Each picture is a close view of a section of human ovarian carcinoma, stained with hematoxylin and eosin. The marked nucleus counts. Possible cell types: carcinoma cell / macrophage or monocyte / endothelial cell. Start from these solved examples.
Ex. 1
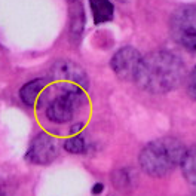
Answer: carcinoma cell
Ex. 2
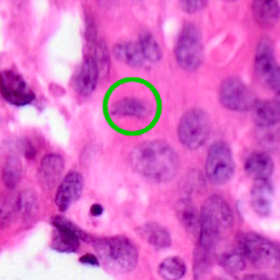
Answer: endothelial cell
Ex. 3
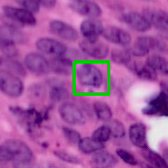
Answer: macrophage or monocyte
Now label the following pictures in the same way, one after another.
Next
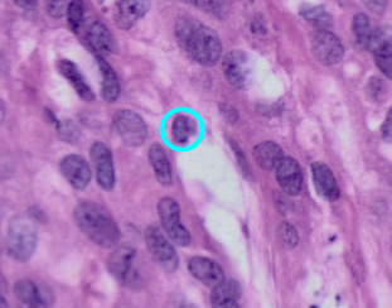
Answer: macrophage or monocyte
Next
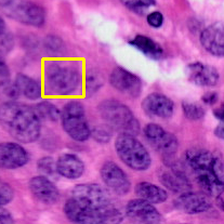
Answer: carcinoma cell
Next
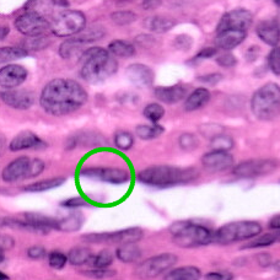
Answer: endothelial cell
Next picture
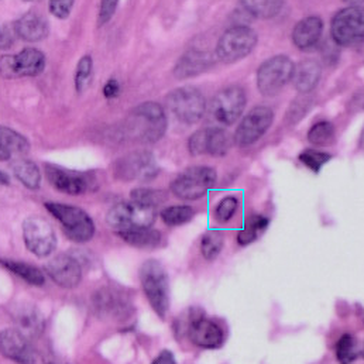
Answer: macrophage or monocyte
